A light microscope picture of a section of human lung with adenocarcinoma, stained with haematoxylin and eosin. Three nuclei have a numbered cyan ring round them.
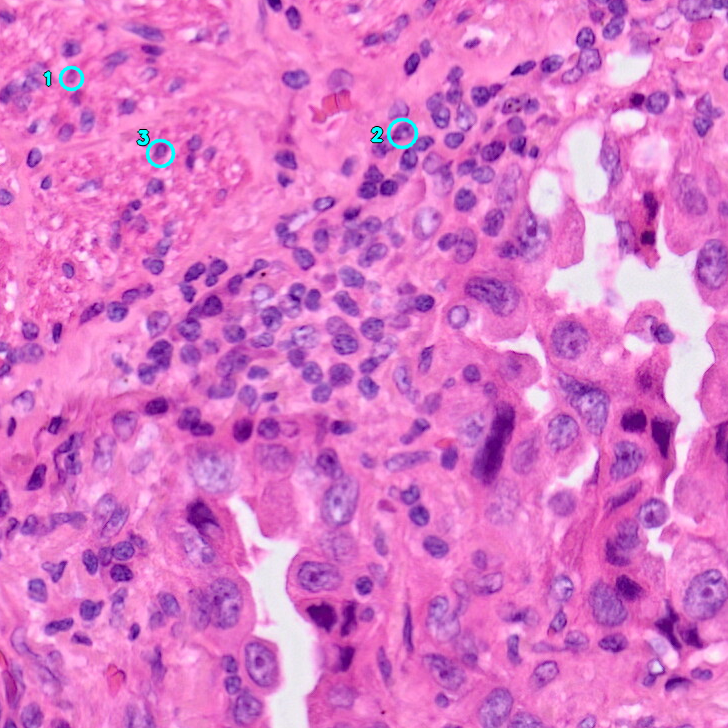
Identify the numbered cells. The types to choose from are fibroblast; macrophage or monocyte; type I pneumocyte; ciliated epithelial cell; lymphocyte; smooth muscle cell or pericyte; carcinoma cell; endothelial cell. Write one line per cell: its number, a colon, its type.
1: smooth muscle cell or pericyte
2: lymphocyte
3: smooth muscle cell or pericyte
